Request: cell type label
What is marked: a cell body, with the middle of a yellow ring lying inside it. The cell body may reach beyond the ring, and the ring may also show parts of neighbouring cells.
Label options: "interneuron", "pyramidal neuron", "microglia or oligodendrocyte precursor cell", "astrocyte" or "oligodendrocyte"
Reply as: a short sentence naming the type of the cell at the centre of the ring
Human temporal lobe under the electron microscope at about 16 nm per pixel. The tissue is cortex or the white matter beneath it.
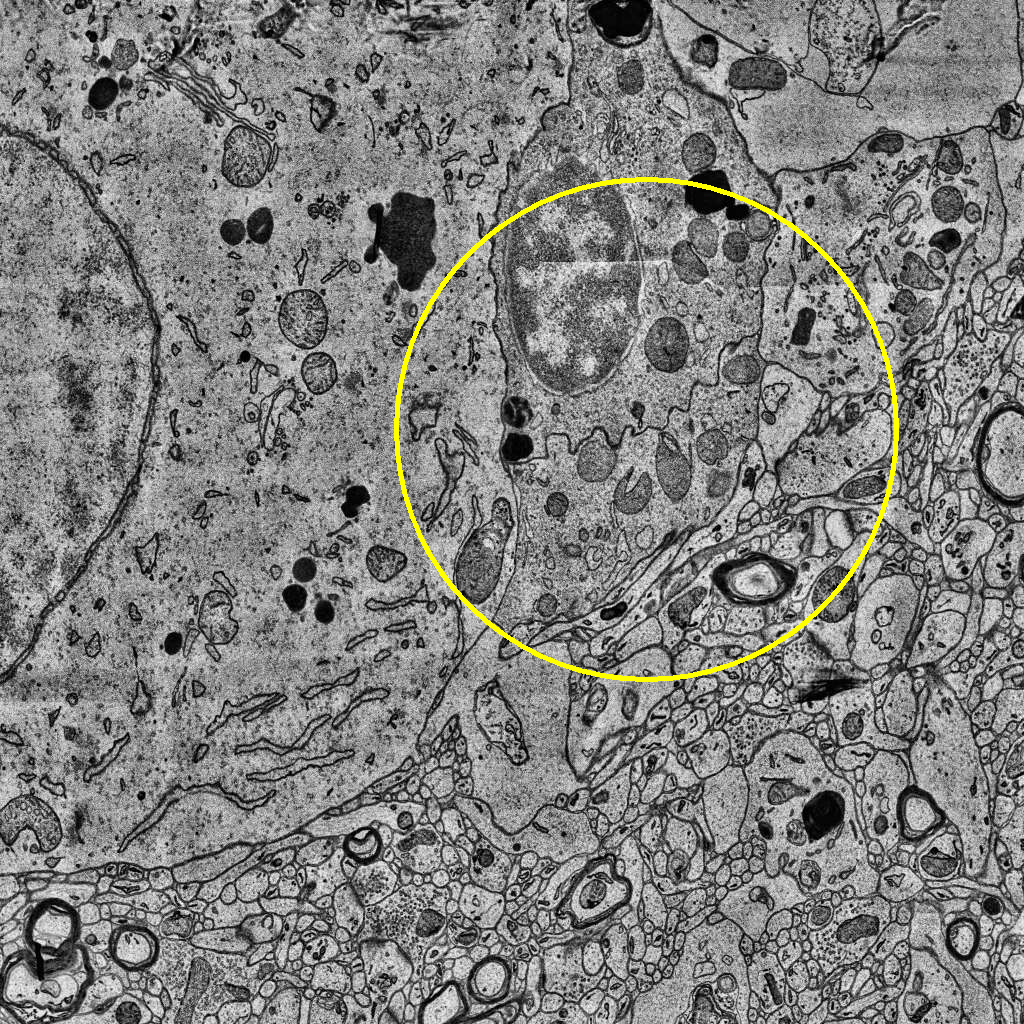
The marked cell body is that of an oligodendrocyte.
